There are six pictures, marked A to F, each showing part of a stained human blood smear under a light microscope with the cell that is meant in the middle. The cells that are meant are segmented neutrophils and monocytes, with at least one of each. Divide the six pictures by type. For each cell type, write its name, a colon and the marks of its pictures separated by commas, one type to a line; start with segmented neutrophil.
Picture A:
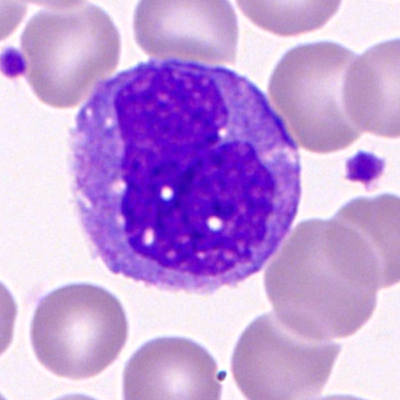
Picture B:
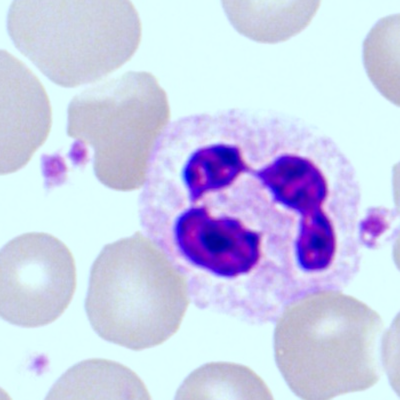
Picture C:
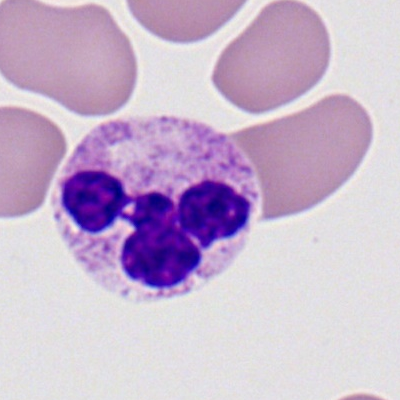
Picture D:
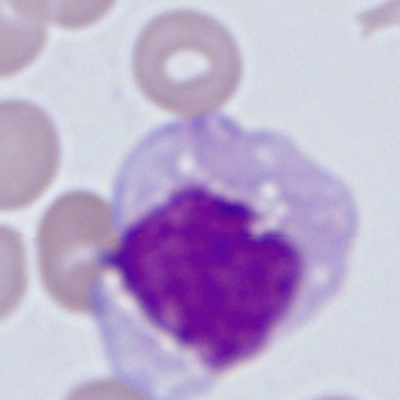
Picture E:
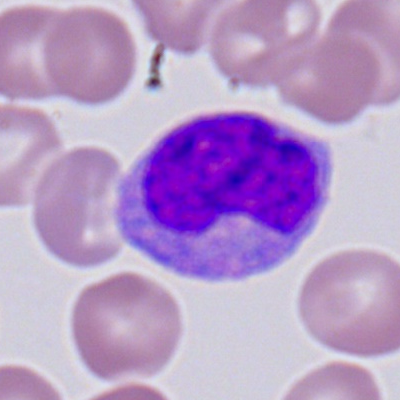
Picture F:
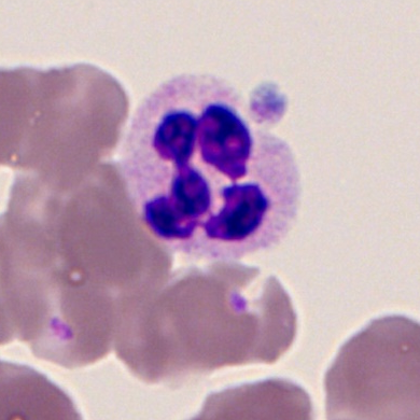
segmented neutrophil: B, C, F
monocyte: A, D, E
